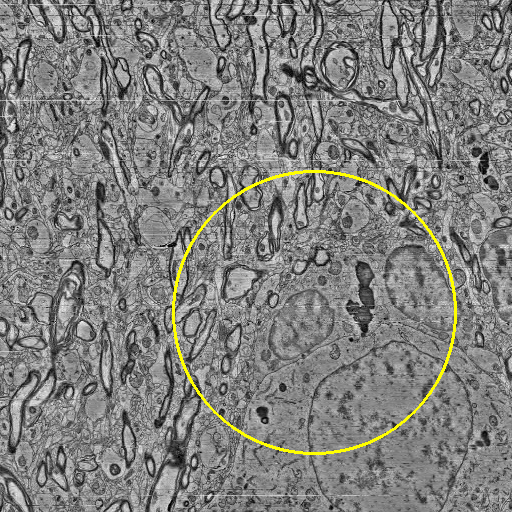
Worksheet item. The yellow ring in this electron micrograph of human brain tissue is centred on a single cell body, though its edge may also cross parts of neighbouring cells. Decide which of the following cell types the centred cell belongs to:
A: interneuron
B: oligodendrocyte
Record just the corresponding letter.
B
